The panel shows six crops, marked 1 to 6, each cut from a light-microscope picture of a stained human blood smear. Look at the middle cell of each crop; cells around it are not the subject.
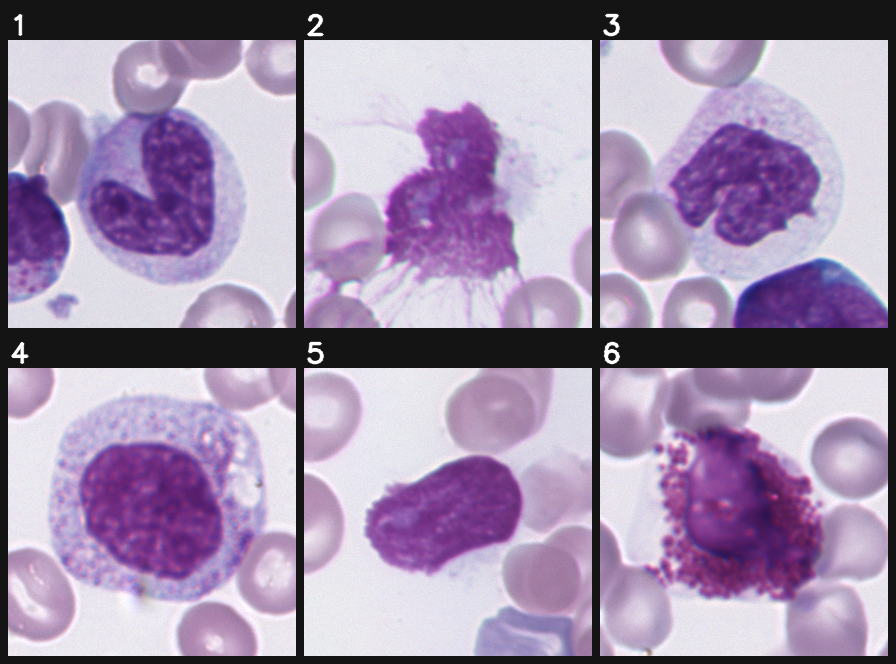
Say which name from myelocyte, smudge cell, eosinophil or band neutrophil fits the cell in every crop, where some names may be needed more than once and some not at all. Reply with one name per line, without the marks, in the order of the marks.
band neutrophil
smudge cell
band neutrophil
myelocyte
smudge cell
eosinophil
